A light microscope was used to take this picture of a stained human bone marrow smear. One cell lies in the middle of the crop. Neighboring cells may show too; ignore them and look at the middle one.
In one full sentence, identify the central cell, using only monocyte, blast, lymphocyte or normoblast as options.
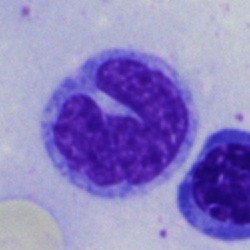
The single cell at the center of the crop is a monocyte.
